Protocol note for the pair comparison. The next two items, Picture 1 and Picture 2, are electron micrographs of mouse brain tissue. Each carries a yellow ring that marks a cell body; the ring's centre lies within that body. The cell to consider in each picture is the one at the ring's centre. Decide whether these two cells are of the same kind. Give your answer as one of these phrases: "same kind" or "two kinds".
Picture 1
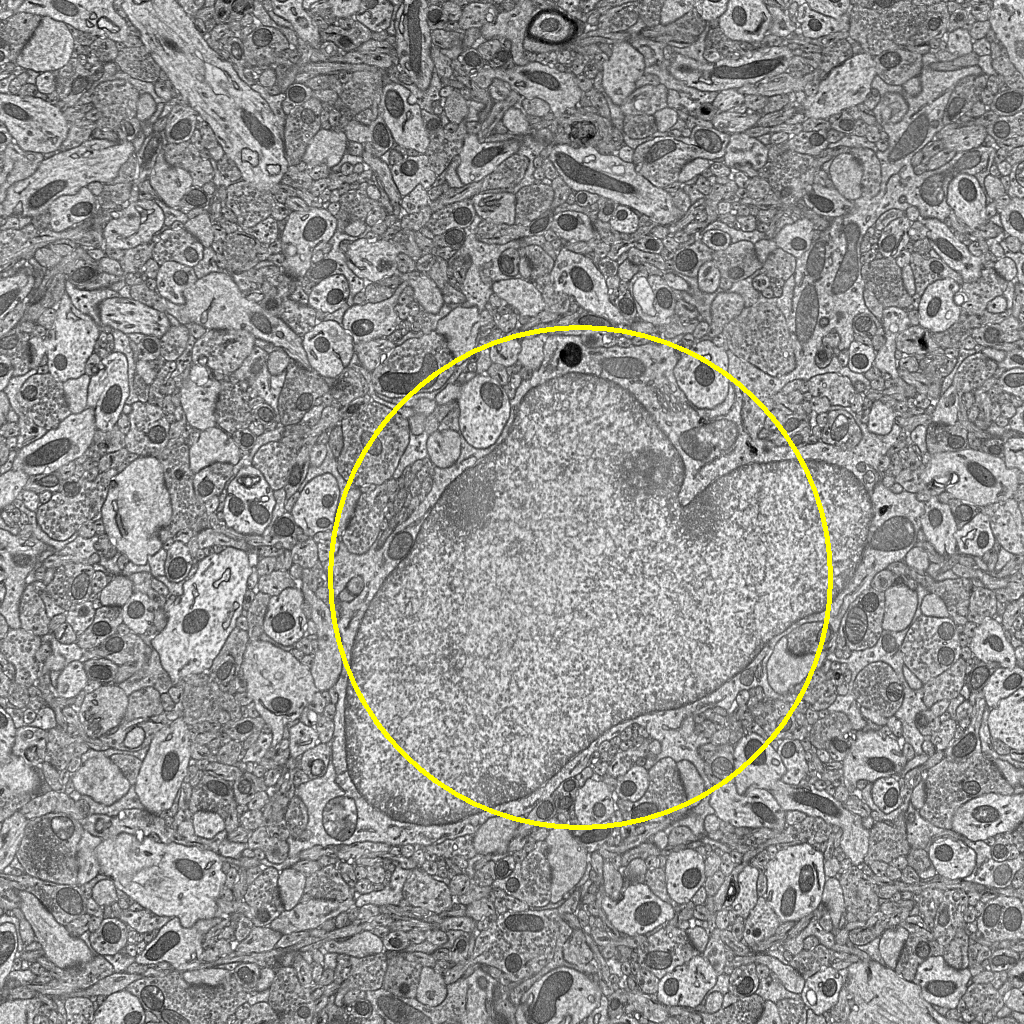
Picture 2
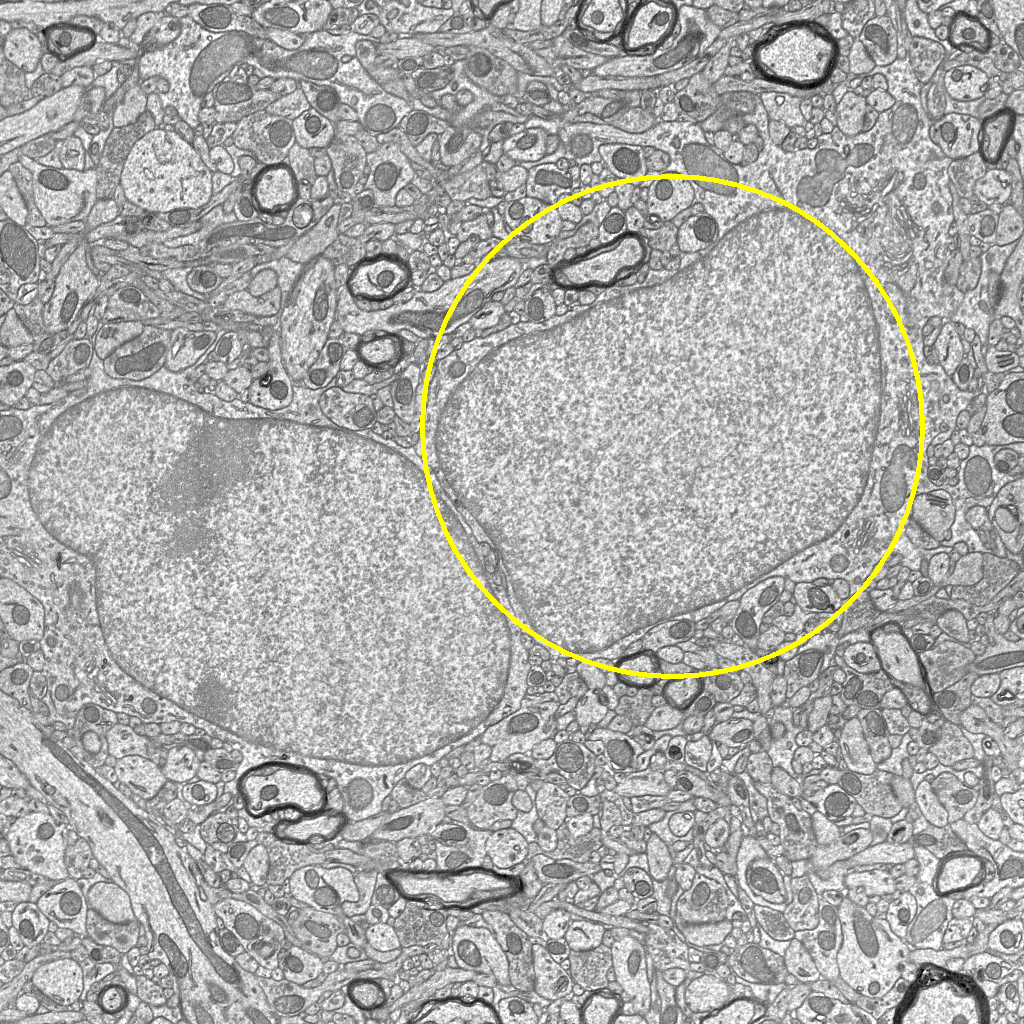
same kind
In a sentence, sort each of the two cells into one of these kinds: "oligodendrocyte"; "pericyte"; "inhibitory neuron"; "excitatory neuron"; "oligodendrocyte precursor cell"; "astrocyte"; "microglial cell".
The second cell is an astrocyte, just as the first is.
